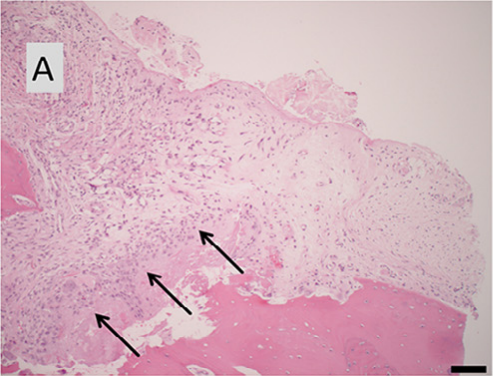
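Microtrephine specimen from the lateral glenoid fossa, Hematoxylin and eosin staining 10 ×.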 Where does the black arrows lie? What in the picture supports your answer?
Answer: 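The arrows lie along the border between the loose cellular fibrous tissue and the dense pink matrix below. Above the arrows the cells have elongated, spindle-shaped nuclei. Near the arrows some cells are rounder and lie closer together.
Answer: zone of transformation of fibrocytes into chondrocyte-like cells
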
